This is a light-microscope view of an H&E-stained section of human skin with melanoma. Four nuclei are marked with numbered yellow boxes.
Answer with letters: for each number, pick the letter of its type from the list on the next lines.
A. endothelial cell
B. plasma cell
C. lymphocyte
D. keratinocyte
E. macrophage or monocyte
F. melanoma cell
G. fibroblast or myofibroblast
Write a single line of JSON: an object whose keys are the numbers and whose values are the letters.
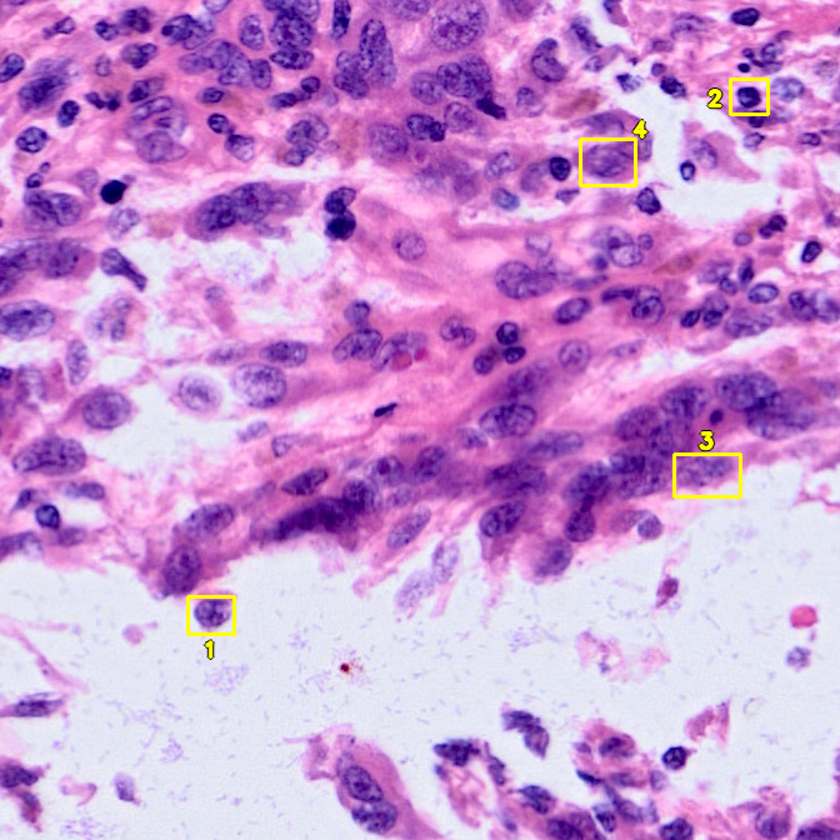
{"1": "F", "2": "C", "3": "F", "4": "F"}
